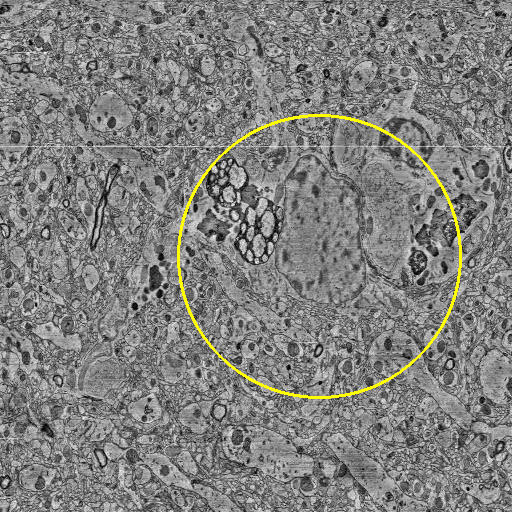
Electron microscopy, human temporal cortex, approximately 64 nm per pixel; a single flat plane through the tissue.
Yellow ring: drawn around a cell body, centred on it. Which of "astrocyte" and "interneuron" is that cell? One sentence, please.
That cell body is from an astrocyte.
